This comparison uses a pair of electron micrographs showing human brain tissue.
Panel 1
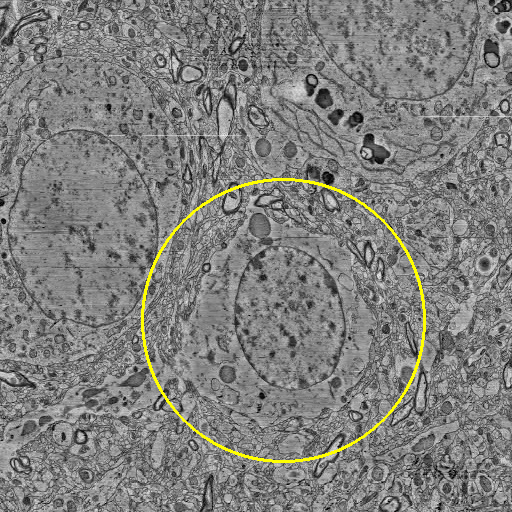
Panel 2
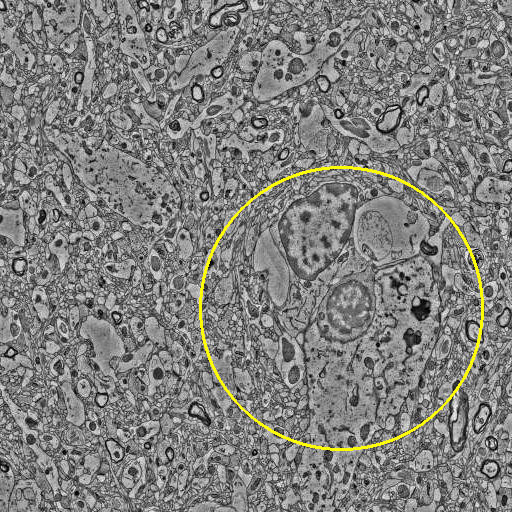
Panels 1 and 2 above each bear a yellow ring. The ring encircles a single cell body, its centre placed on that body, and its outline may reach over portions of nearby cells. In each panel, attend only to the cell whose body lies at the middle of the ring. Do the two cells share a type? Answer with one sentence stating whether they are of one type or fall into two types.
In Panel 1 and Panel 2, the cells at the centres of the rings fall into two types.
